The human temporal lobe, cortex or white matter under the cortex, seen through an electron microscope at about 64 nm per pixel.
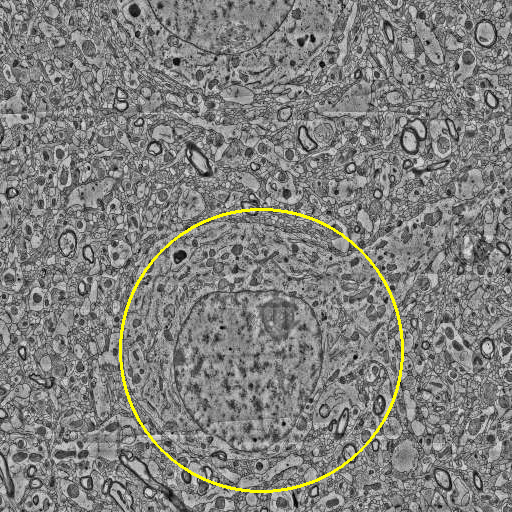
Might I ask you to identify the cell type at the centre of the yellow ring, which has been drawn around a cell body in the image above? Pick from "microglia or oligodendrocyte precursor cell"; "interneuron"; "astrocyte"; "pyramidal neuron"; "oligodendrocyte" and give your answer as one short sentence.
The centre of the ring falls on an interneuron.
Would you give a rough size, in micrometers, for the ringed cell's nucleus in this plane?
Approximately 10 micrometers across in this plane.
